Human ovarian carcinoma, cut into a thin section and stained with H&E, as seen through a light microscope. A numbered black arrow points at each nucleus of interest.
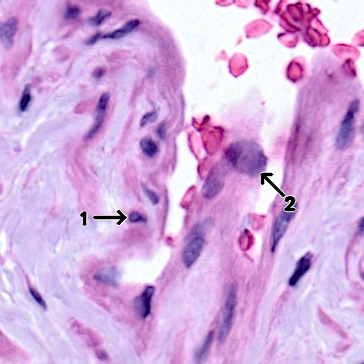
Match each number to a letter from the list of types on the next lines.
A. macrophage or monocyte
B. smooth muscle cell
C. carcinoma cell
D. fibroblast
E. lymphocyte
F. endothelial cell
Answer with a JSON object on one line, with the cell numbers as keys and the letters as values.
{"1": "B", "2": "F"}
